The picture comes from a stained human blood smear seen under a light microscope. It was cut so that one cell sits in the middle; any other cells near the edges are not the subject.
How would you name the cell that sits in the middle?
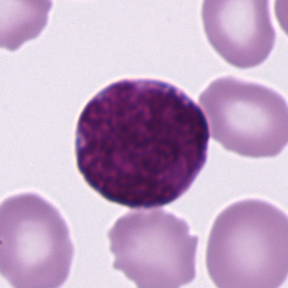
blast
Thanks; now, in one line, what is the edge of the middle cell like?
In short, the margin is smooth with no projections at all.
